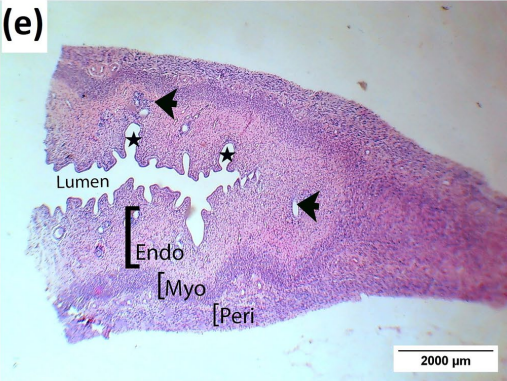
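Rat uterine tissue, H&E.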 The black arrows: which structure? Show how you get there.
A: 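The arrows point at small round or oval open profiles in the stroma. The profiles are lined by a thin cell layer.
Hence: endometrial gland.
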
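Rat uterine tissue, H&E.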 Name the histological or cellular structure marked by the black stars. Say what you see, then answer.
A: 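The stars lie between finger-like projections of the lining into the lumen. The luminal border is highly irregular with many folds.
Conclusion: mucosal fold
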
